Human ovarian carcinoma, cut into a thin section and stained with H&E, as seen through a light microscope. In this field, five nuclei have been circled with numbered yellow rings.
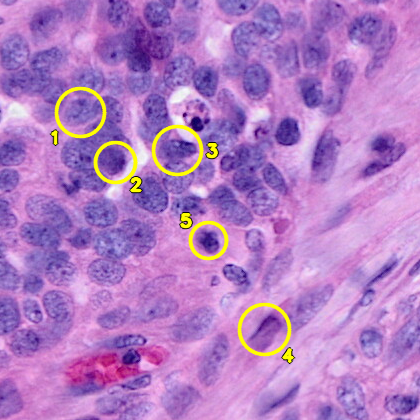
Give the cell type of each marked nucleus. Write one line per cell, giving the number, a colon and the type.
1: carcinoma cell
2: carcinoma cell
3: carcinoma cell
4: fibroblast
5: lymphocyte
